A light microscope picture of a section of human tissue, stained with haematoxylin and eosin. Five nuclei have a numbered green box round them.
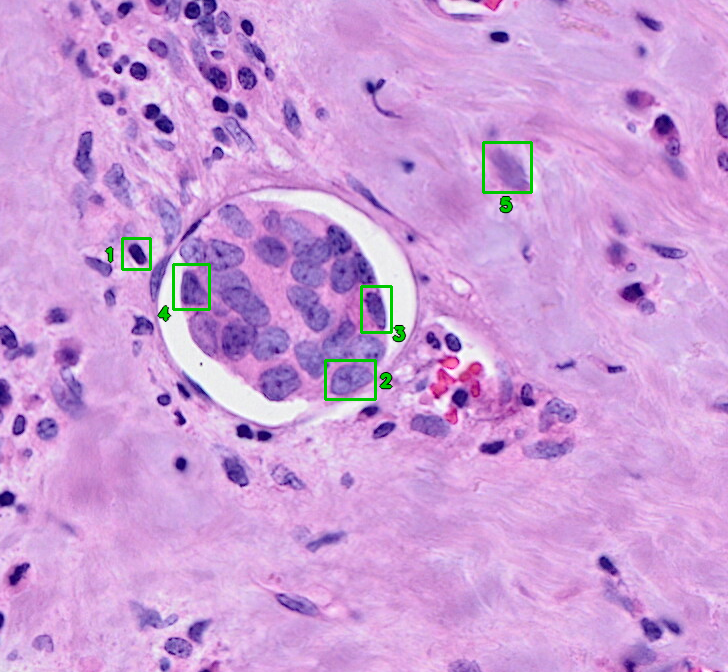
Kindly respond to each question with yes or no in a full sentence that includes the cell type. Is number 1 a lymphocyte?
Yes, the nucleus numbered 1 belongs to a lymphocyte.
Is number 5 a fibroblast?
Yes, a fibroblast is what the cell numbered 5 is.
